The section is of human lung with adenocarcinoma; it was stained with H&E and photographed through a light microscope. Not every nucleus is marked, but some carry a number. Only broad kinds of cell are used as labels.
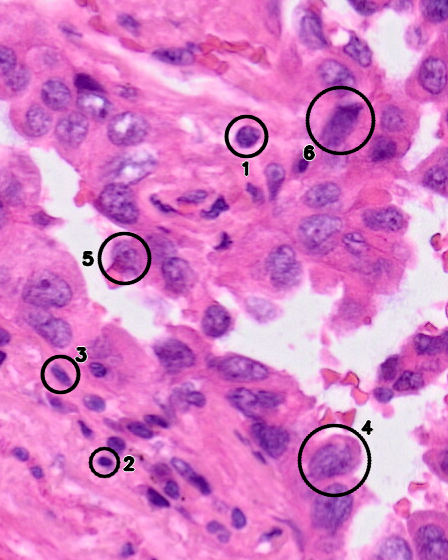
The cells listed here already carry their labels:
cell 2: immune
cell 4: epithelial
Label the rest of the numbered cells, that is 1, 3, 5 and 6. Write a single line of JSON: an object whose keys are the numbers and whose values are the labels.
{"1": "immune", "3": "immune", "5": "epithelial", "6": "epithelial"}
